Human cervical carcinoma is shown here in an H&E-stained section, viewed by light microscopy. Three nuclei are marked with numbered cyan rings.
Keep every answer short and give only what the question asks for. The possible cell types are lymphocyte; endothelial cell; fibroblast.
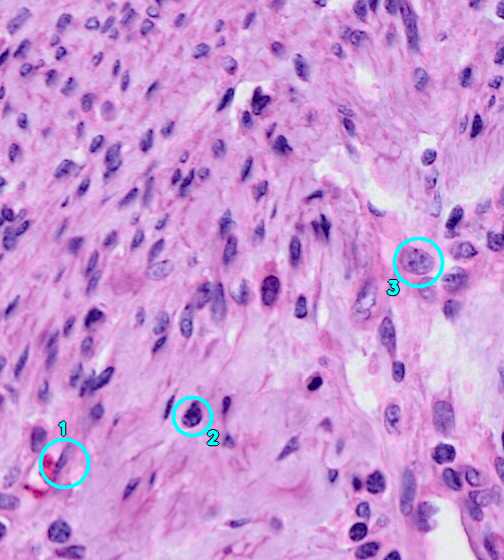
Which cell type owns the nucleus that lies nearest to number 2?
fibroblast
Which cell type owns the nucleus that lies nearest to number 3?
endothelial cell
